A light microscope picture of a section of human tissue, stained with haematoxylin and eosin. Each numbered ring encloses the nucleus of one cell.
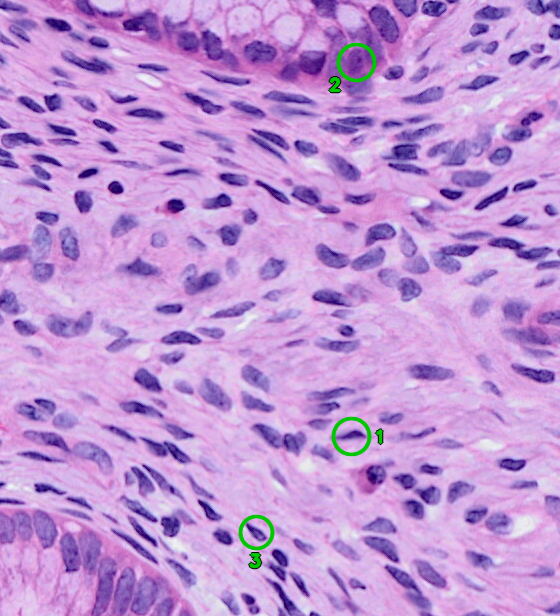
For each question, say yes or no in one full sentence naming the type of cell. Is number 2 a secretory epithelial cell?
Yes, the cell that goes by number 2 is a secretory epithelial cell.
